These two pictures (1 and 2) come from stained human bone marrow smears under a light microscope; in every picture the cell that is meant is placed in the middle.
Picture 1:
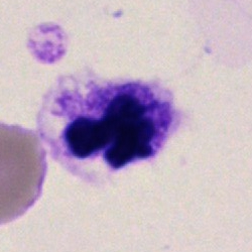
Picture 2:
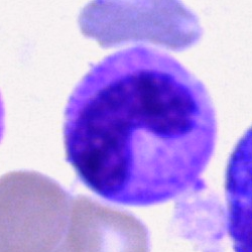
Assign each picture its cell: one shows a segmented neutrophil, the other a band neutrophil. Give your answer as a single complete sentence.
In picture 1 the cell is a segmented neutrophil; in picture 2, a band neutrophil.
